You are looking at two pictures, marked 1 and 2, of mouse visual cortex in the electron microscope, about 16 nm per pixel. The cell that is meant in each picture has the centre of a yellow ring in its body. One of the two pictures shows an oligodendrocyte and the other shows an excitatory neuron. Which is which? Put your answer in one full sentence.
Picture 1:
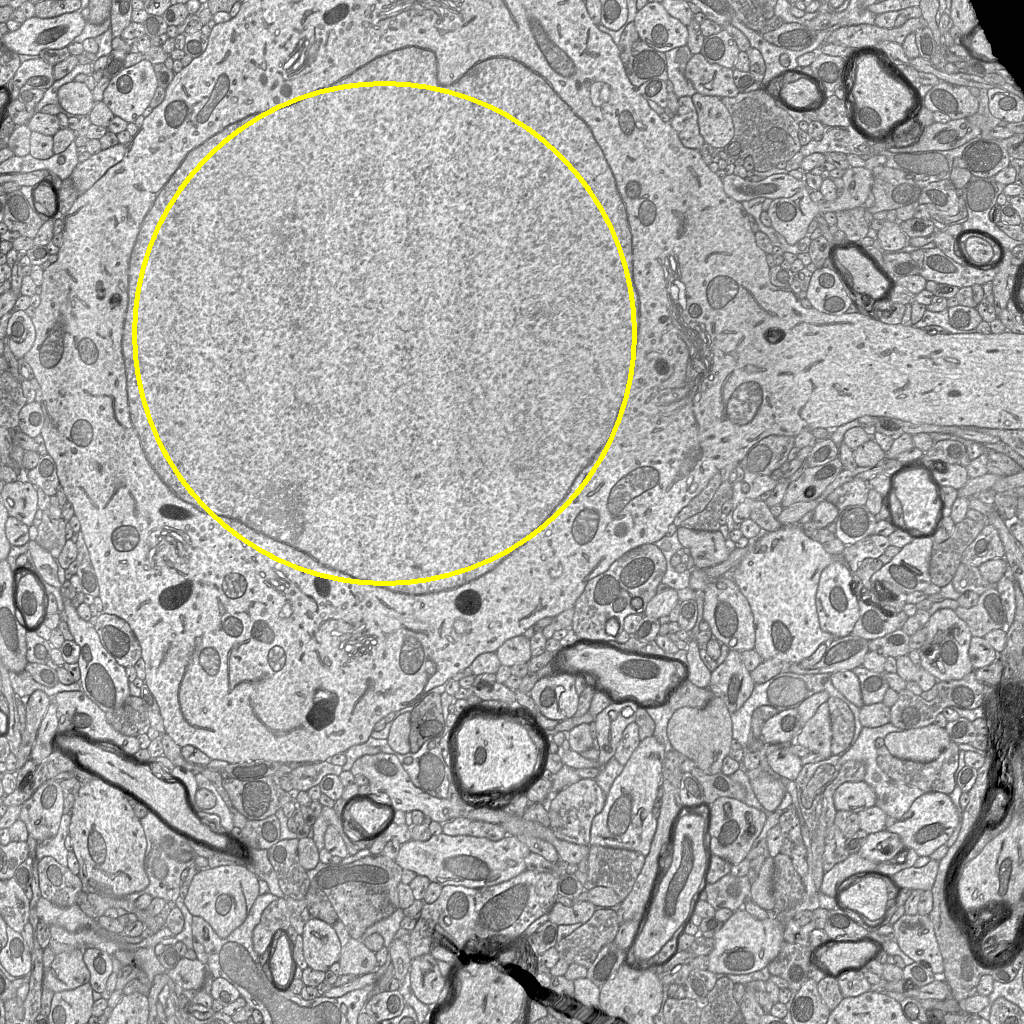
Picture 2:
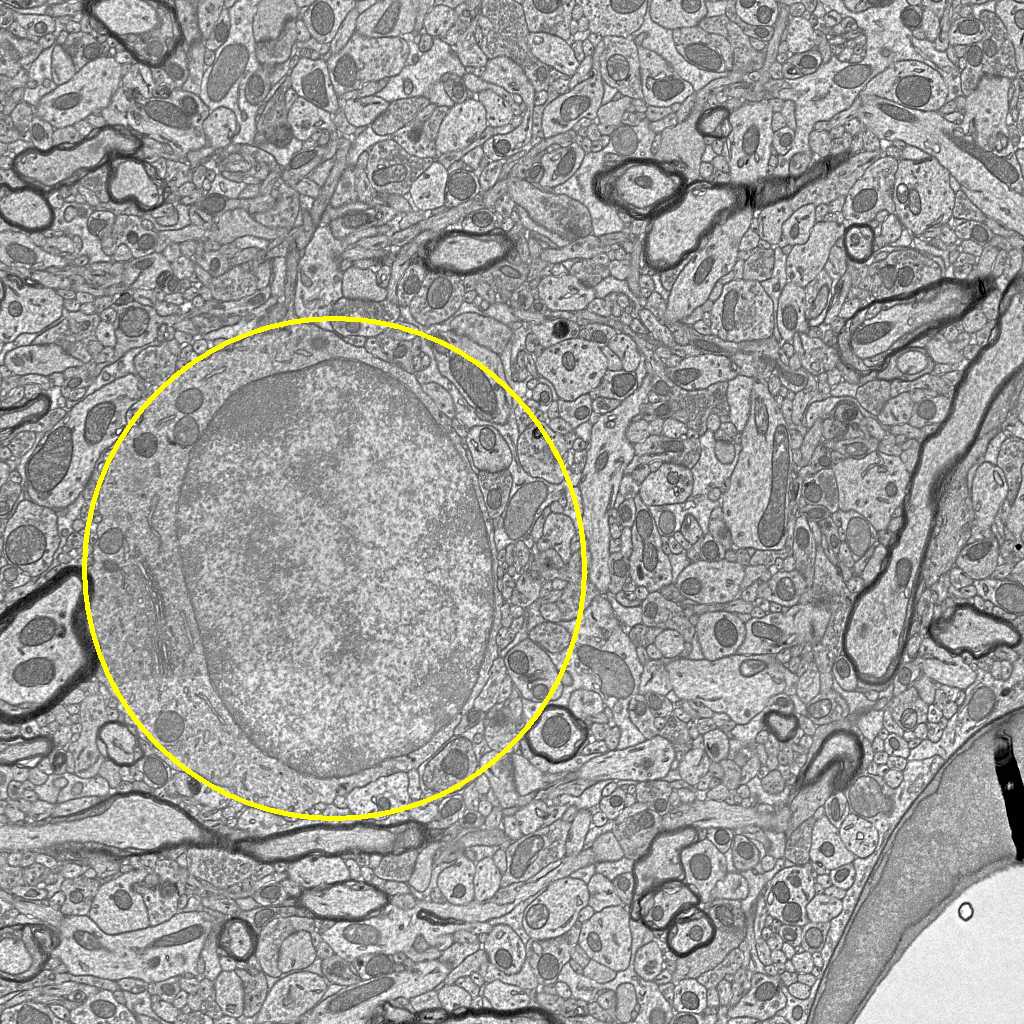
Picture 1 is of an excitatory neuron, and picture 2 is of an oligodendrocyte.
